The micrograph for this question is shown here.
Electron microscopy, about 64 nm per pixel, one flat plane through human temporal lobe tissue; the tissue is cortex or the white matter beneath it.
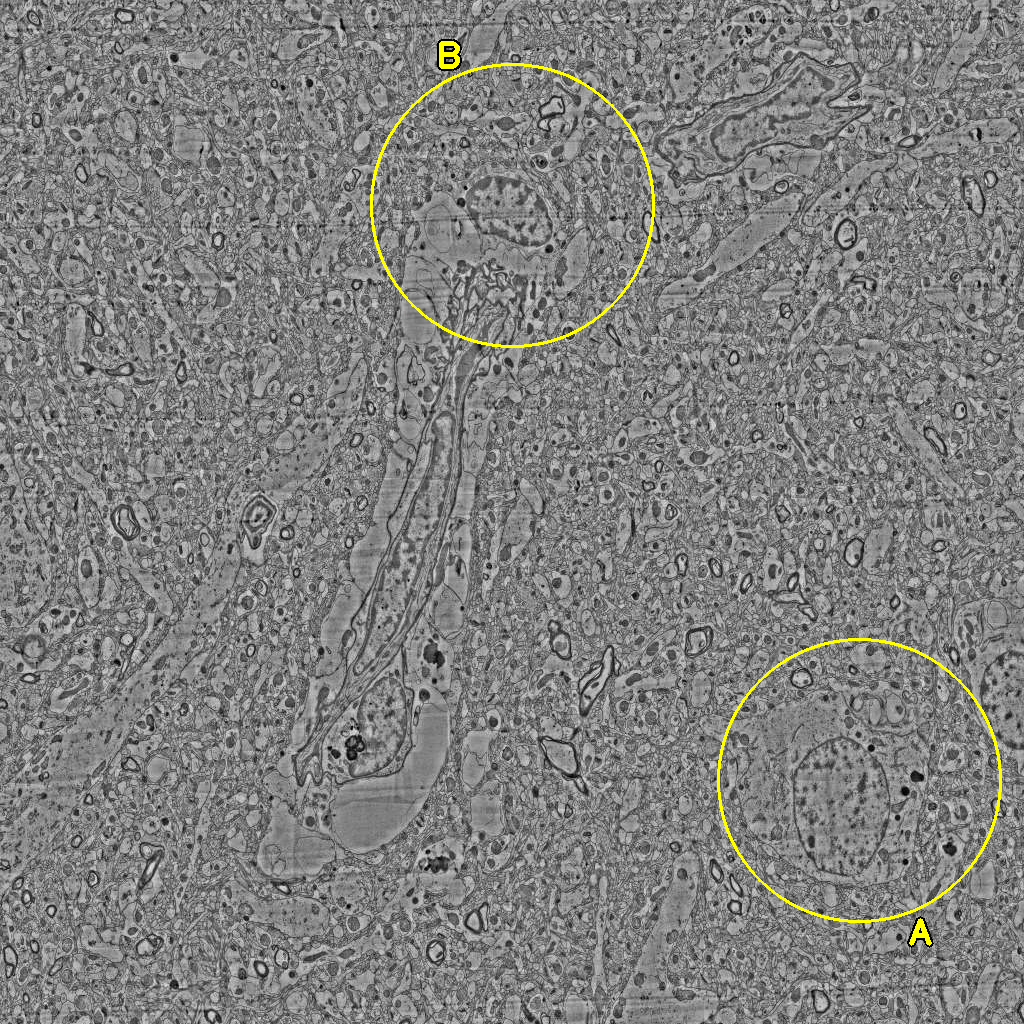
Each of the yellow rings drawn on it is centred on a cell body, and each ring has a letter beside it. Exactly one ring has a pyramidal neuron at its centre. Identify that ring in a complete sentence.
The ring centred on it is ring A.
